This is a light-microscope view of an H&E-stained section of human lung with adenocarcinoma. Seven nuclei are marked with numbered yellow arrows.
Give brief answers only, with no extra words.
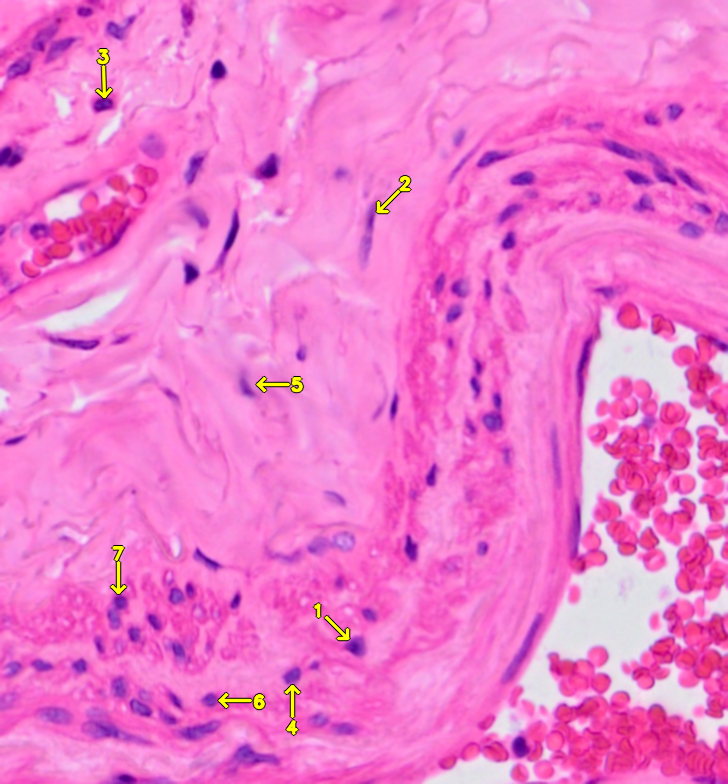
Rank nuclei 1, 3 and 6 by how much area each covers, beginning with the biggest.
1, 3, 6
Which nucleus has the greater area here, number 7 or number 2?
2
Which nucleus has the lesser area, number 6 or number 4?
6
